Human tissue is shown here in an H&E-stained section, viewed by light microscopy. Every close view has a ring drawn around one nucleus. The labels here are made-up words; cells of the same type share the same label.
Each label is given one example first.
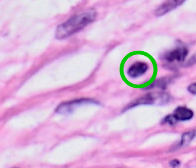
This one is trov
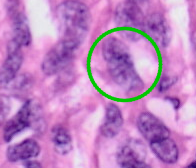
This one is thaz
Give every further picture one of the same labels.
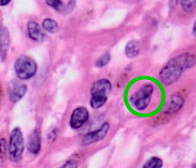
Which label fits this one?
trov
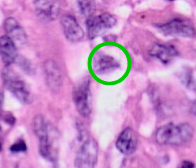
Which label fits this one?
thaz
